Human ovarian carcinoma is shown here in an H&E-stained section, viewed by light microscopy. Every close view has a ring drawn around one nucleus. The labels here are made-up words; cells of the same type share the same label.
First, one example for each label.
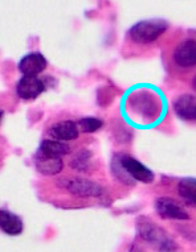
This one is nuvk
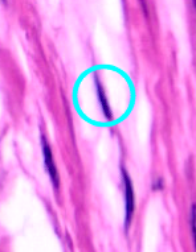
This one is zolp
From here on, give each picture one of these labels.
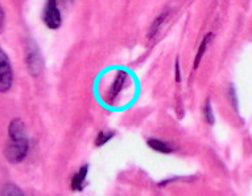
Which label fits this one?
zolp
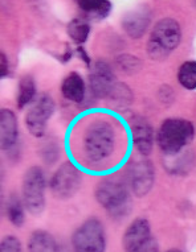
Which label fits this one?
nuvk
